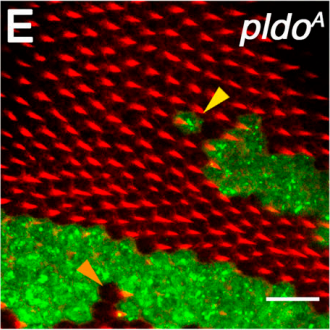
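Pupal wing epithelium seen from the surface, with a regular array of cells each bearing a single small pointed red hair. Irregular green patches of cells lie among them, and within these patches red hairs are largely absent. A tiny isolated green spot sits in the hair-bearing region, and a small gap without green within a large green patch carries hairs.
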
